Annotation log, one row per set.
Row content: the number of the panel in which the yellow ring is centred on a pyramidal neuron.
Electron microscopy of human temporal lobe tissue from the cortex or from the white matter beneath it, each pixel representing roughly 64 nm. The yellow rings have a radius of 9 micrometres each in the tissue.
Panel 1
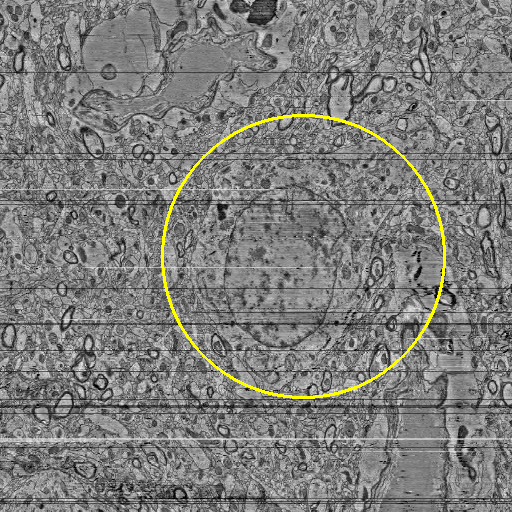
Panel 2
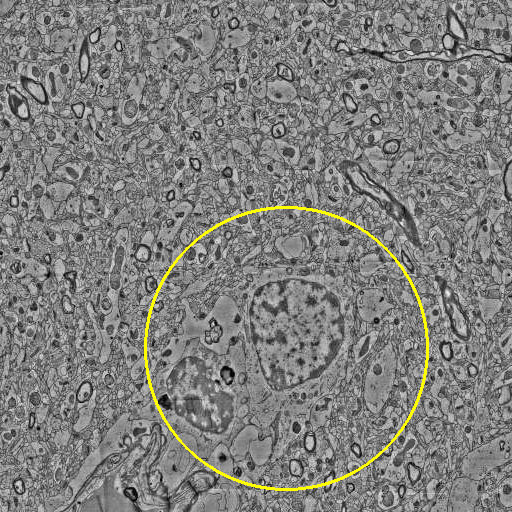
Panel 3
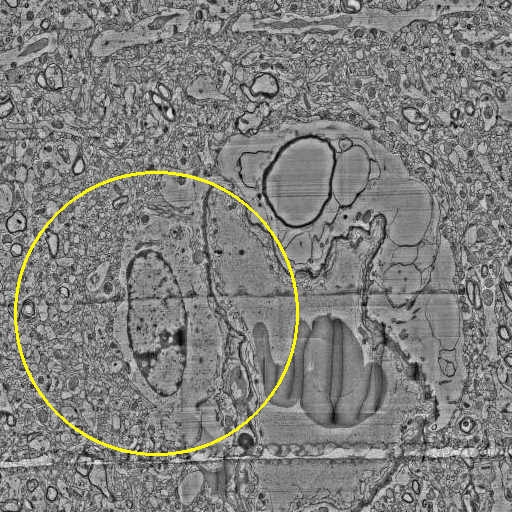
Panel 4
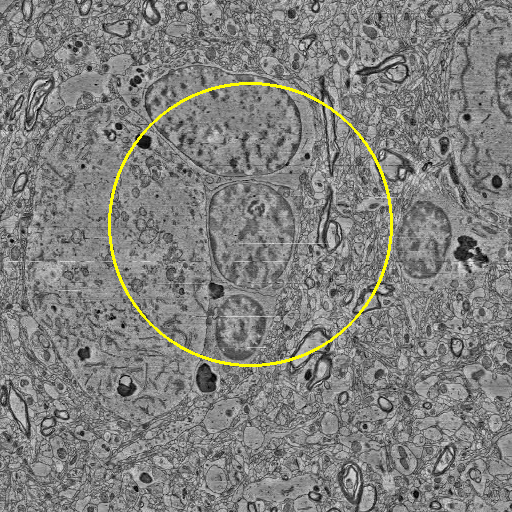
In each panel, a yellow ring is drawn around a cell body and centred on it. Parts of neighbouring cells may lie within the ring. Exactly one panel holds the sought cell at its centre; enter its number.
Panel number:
1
